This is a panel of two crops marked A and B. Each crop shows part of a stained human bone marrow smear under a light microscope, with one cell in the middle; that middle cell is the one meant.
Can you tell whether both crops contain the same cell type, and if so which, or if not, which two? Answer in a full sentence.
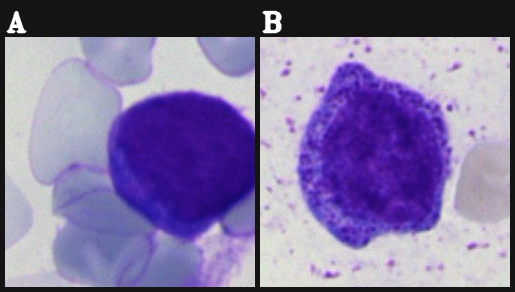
No, crop A is where a blast is, and crop B is where a promyelocyte is.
